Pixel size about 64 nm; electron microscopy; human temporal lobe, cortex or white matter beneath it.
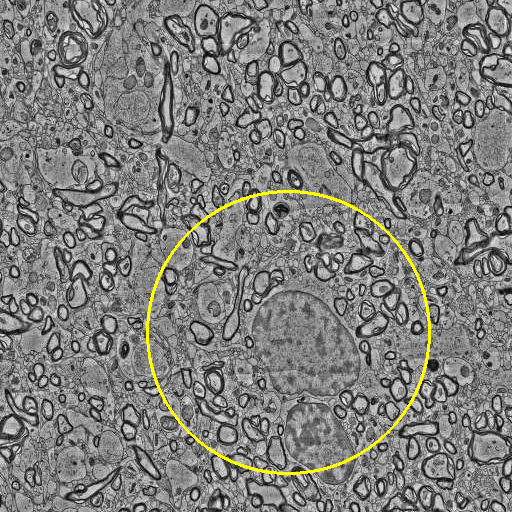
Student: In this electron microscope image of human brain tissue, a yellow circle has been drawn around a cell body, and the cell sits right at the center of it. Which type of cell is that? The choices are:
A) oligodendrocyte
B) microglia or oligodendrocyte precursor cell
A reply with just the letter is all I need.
A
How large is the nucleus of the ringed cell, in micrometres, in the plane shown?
In this plane, approximately 8 by 6 micrometers.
